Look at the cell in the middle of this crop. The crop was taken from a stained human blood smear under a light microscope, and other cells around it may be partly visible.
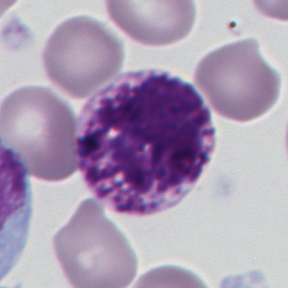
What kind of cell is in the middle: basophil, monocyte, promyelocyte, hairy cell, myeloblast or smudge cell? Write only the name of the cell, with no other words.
basophil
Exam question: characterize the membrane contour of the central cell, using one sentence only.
Worth noting that the cell border is smooth and lacks projections.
